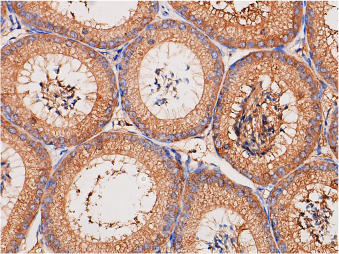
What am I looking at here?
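This section of the caput epididymis shows many epididymal tubules cut in cross section. Each tubule is lined by a tall columnar epithelium. The cytoplasm of this epithelium is stained orange-brown, and the blue nuclei sit toward the base of the cells. The lumens are wide and round and contain only scattered bundles of sperm. Thin strands of interstitial tissue with blue-stained cells separate the neighbouring tubules.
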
